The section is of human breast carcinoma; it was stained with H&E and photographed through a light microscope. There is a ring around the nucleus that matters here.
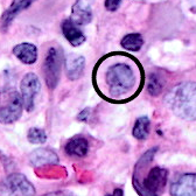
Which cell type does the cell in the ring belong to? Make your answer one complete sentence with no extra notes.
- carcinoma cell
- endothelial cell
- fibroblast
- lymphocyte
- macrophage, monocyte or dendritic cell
With respect to cell type, the cell in the ring is a macrophage, monocyte or dendritic cell.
